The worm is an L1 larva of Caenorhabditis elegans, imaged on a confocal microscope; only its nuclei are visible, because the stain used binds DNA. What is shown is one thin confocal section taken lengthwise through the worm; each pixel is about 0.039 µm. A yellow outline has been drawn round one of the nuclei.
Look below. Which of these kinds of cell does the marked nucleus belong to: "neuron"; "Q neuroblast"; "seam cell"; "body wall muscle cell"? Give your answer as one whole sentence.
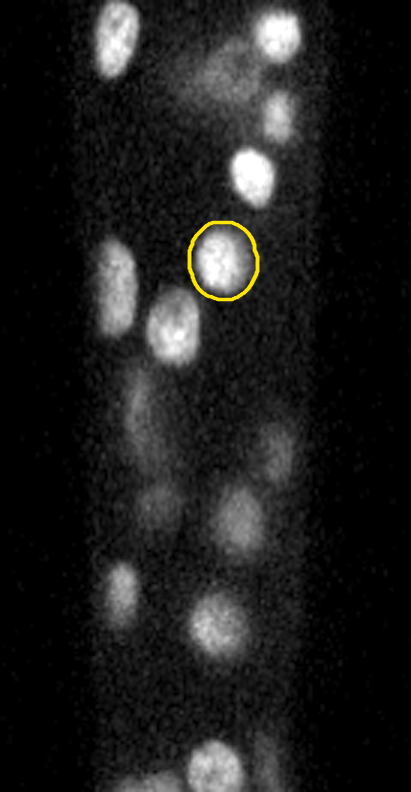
This is the nucleus of a neuron.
